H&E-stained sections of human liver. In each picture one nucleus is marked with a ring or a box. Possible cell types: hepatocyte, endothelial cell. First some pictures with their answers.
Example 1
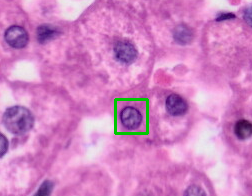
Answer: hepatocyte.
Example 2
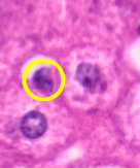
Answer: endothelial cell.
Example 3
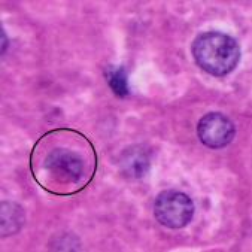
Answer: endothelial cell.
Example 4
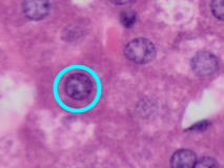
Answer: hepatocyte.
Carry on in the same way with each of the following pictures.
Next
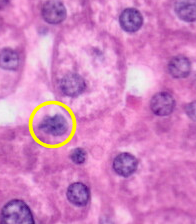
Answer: endothelial cell.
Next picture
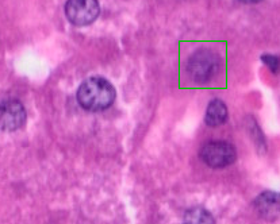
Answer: hepatocyte.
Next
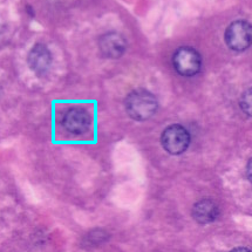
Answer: hepatocyte.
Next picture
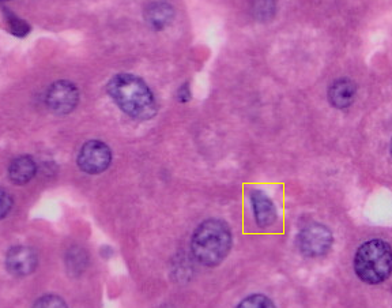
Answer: endothelial cell.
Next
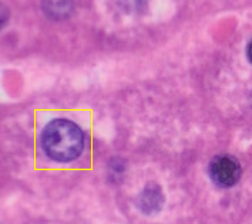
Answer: hepatocyte.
